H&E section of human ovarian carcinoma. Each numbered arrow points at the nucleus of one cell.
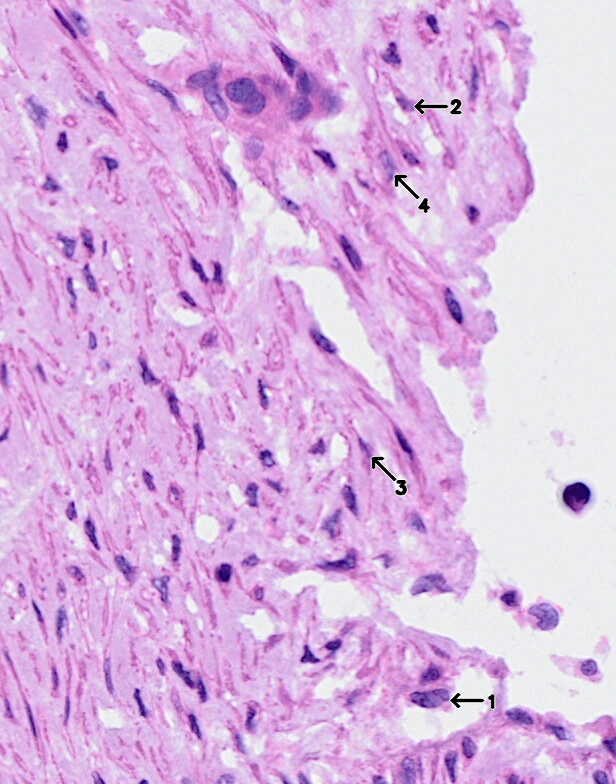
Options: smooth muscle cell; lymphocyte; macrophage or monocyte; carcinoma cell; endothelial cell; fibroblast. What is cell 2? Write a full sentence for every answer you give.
The cell identified by the number 2 is a fibroblast.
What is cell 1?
The cell indicated with the number 1 is classed as a macrophage or monocyte.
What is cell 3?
Recognised here as a fibroblast is the cell numbered 3.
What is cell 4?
The cell that is numbered 4 is a fibroblast.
